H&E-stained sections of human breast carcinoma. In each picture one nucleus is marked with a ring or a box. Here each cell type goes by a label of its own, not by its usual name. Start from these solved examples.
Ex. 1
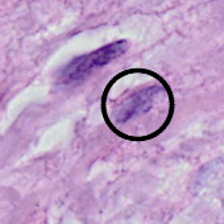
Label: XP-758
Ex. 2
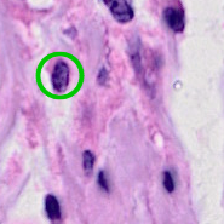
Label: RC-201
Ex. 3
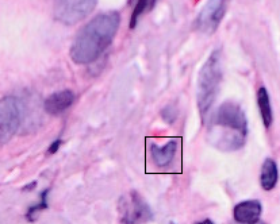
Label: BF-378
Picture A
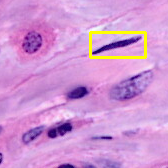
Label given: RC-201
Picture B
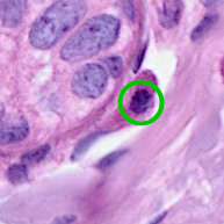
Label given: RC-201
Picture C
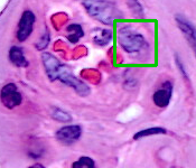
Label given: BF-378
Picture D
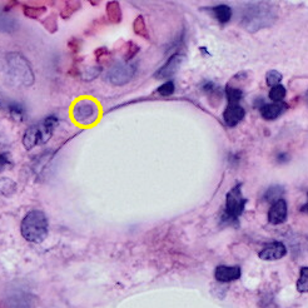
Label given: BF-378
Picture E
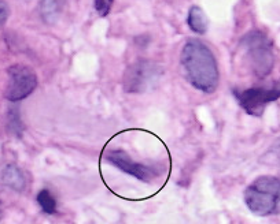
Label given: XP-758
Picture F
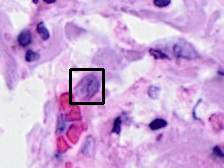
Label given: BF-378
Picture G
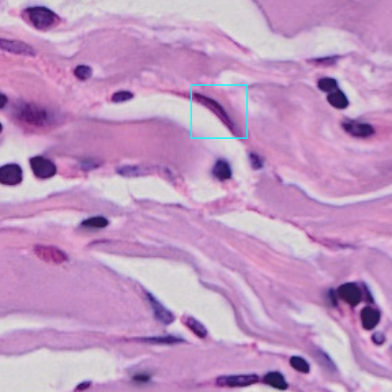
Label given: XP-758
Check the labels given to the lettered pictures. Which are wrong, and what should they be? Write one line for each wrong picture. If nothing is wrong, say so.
A: change RC-201 to XP-758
